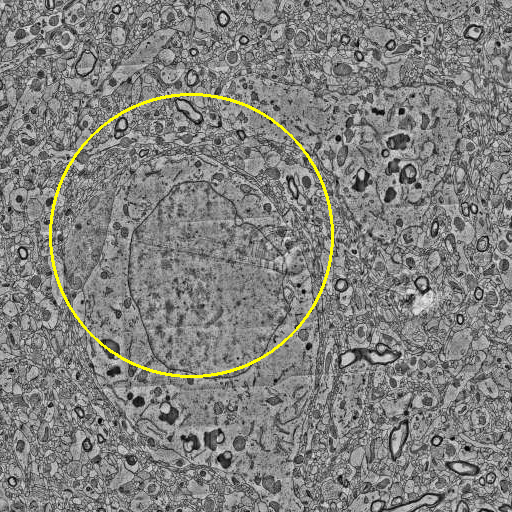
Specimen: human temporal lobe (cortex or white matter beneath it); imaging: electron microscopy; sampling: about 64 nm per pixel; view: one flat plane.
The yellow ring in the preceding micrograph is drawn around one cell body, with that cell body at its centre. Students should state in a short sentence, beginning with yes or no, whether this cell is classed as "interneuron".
No, this cell is of another type.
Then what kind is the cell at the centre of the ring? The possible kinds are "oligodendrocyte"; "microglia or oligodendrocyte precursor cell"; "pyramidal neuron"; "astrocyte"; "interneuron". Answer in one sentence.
The cell at the middle of the ring is a pyramidal neuron.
